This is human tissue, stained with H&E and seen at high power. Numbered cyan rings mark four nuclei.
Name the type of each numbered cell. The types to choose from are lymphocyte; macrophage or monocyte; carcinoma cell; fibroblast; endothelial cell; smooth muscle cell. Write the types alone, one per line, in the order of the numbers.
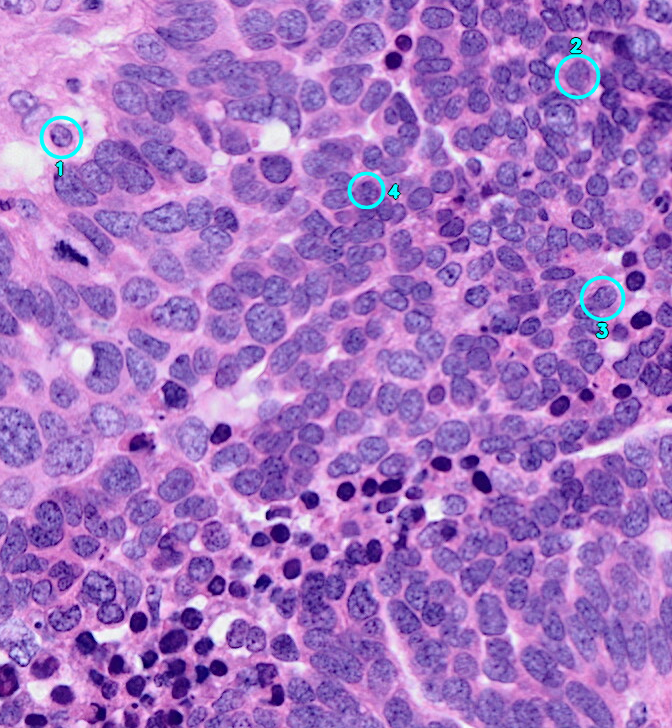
macrophage or monocyte
carcinoma cell
carcinoma cell
carcinoma cell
